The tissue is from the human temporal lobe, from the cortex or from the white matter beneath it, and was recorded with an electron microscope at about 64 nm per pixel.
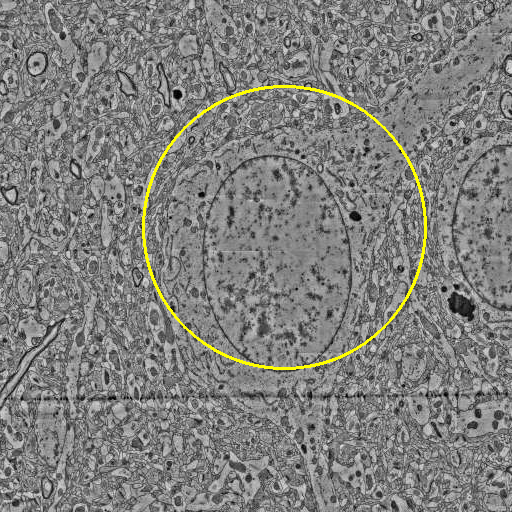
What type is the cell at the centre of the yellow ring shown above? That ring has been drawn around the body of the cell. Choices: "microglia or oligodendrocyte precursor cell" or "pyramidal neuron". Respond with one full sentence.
My answer is that a pyramidal neuron lies at the centre of the yellow ring above.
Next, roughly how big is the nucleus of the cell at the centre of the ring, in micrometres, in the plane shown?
In this plane, roughly 14 by 10 micrometres.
